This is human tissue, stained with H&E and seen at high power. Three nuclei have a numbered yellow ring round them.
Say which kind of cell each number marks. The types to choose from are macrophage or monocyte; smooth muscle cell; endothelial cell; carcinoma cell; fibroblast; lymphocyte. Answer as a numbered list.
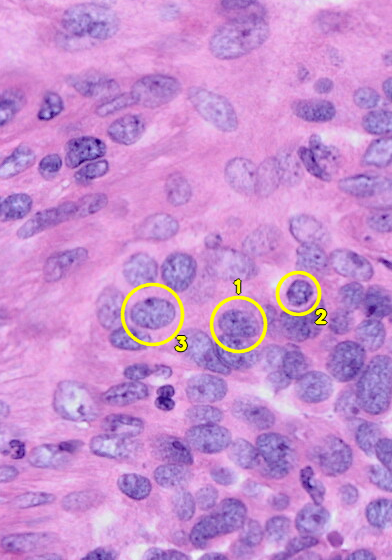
1. carcinoma cell
2. macrophage or monocyte
3. carcinoma cell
